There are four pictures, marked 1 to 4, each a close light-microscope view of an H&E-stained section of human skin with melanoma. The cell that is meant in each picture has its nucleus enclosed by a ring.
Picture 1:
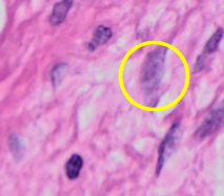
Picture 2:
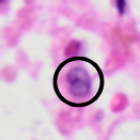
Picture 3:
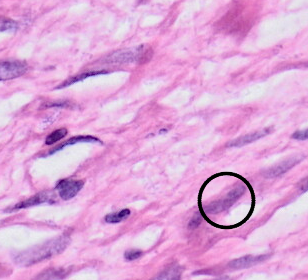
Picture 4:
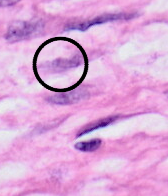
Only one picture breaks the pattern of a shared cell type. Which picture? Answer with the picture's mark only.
2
